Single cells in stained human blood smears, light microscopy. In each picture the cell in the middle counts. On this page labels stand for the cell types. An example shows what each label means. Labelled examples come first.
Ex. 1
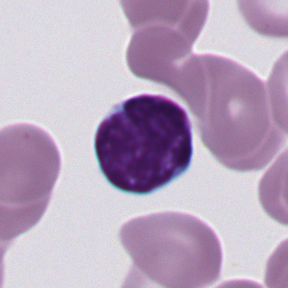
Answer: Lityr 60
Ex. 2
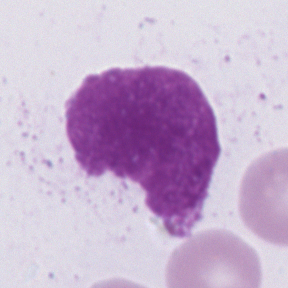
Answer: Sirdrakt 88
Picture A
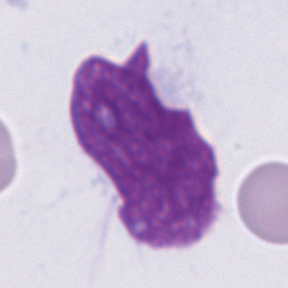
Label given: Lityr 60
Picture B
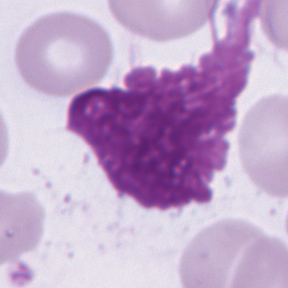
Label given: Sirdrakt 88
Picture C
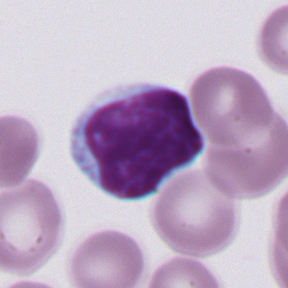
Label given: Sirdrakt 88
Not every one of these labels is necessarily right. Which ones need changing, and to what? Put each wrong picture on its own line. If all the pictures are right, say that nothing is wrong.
A: Sirdrakt 88, not Lityr 60
C: Lityr 60, not Sirdrakt 88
